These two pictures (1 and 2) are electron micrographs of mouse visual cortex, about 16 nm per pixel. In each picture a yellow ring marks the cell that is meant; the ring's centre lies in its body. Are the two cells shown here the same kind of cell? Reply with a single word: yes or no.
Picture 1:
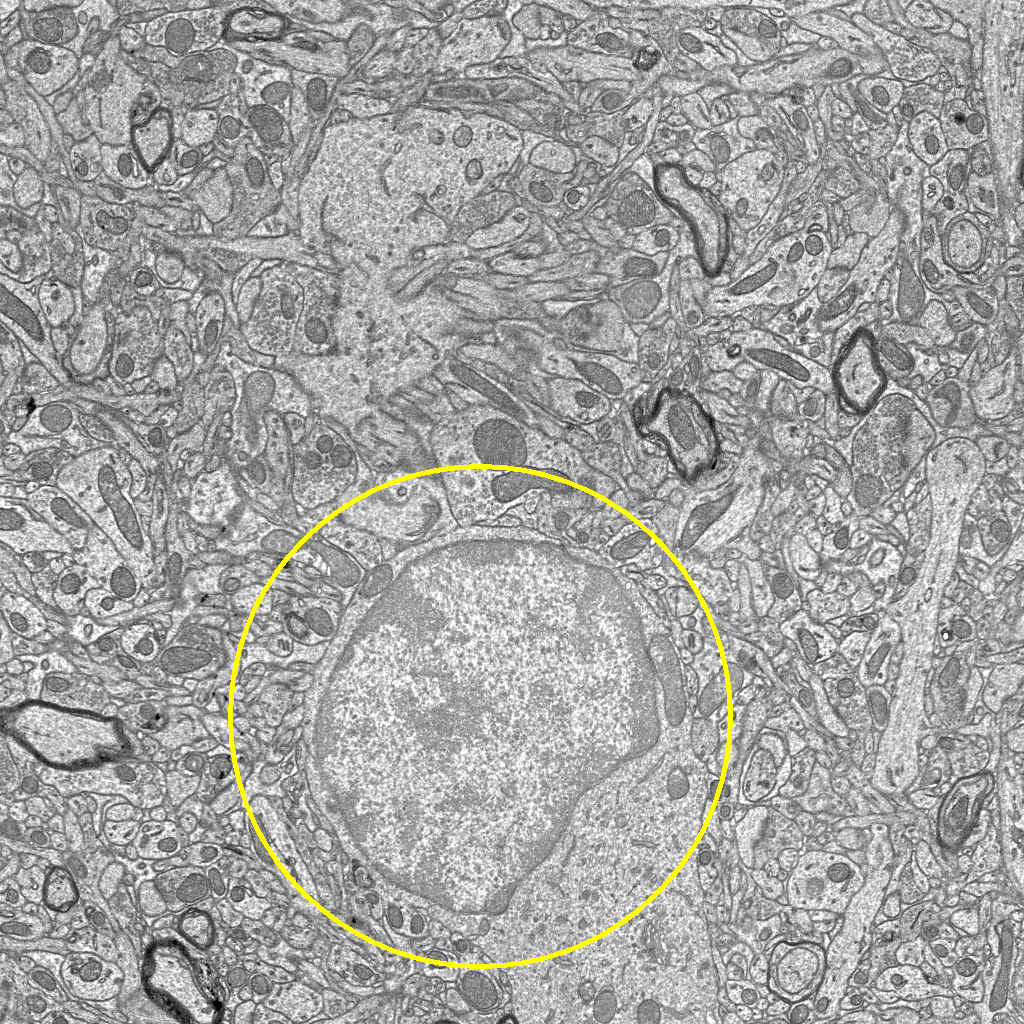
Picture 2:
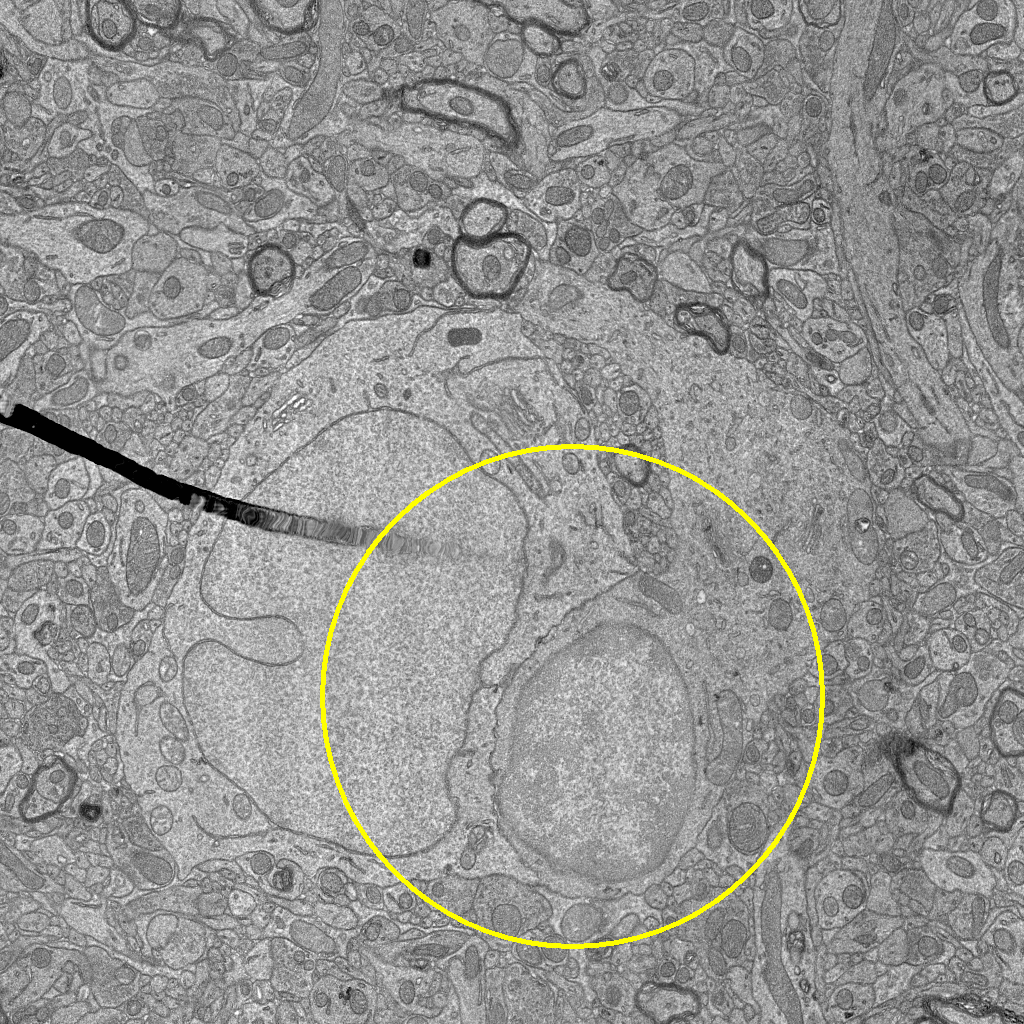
yes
